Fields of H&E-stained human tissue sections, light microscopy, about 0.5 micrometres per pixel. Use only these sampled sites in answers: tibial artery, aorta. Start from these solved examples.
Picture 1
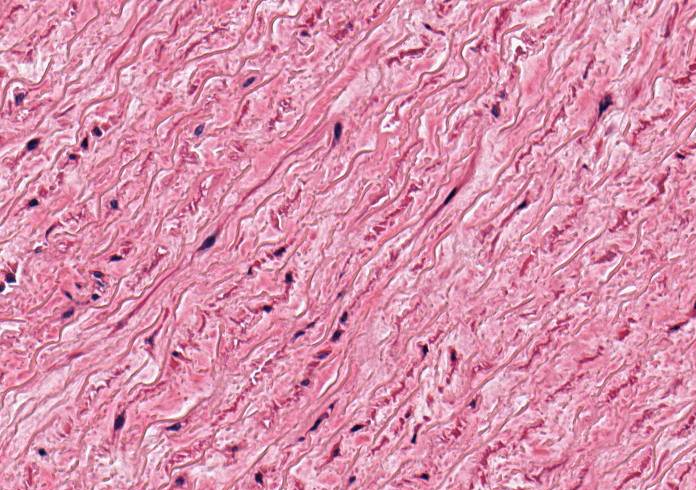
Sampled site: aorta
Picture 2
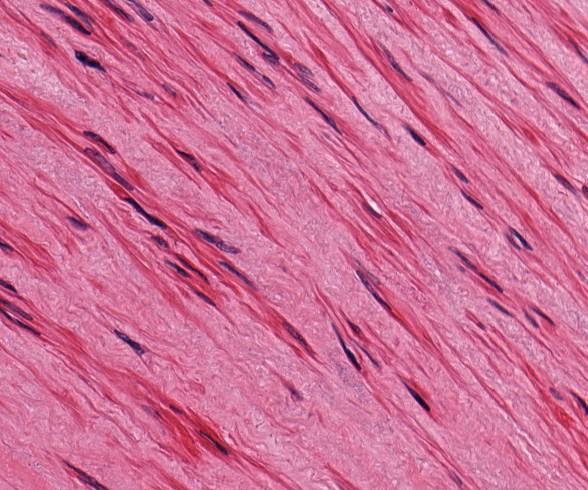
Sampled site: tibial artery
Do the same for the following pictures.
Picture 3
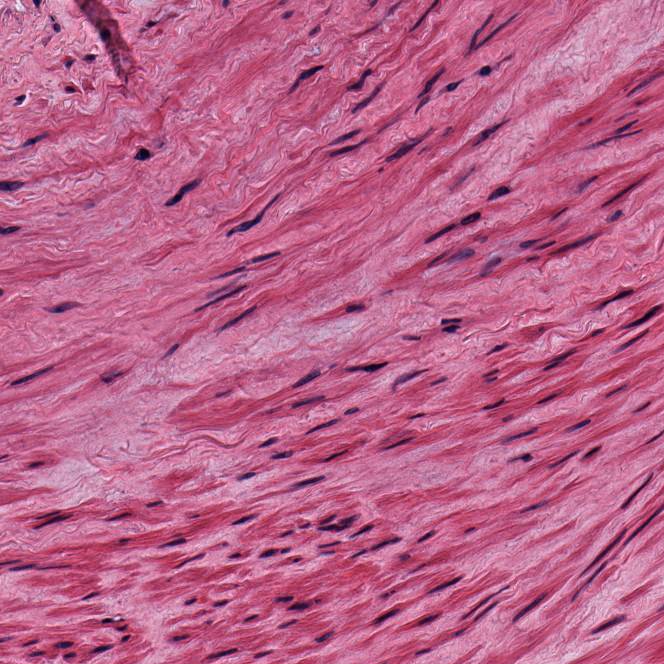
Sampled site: tibial artery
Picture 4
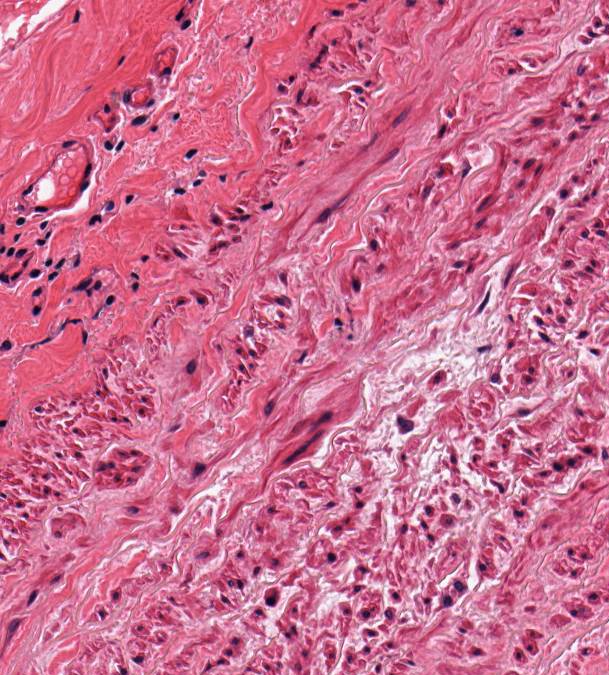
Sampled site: aorta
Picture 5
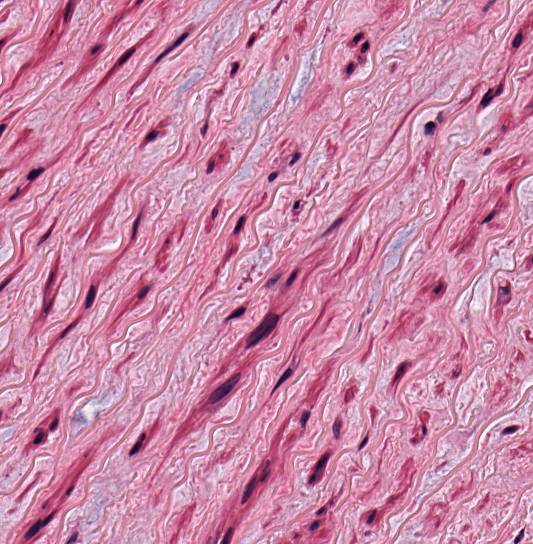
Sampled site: aorta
